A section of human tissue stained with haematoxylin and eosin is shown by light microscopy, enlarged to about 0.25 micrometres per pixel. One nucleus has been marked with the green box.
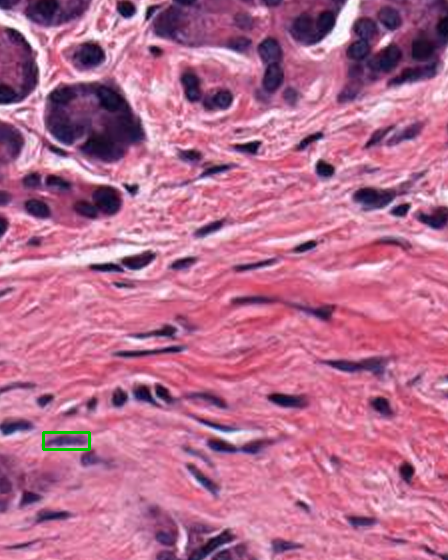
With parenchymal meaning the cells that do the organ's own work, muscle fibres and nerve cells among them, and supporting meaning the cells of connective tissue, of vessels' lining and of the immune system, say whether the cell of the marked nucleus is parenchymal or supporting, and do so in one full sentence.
It is a supporting cell to which the marked nucleus belongs.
